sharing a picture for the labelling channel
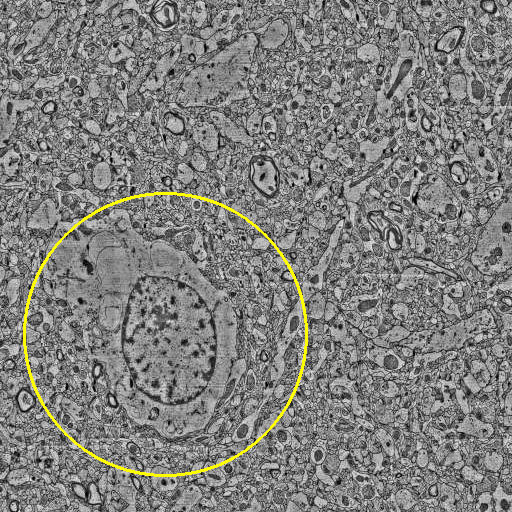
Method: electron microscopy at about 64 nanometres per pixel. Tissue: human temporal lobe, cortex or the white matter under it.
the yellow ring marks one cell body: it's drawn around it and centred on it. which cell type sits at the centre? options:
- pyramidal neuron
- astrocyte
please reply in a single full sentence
In the picture, the cell at the ring's centre is an astrocyte, going by the list.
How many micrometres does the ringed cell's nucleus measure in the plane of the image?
Roughly 8 micrometres by 6 micrometres, in this plane.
